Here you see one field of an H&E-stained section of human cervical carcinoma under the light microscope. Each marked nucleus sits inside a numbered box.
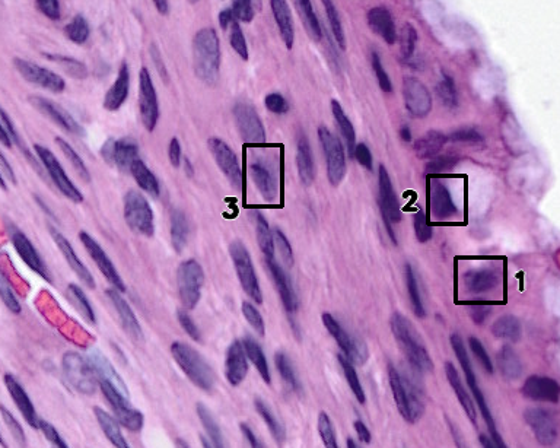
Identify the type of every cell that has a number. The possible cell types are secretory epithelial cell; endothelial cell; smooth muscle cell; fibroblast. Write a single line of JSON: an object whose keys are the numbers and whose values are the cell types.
{"1": "secretory epithelial cell", "2": "secretory epithelial cell", "3": "fibroblast"}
